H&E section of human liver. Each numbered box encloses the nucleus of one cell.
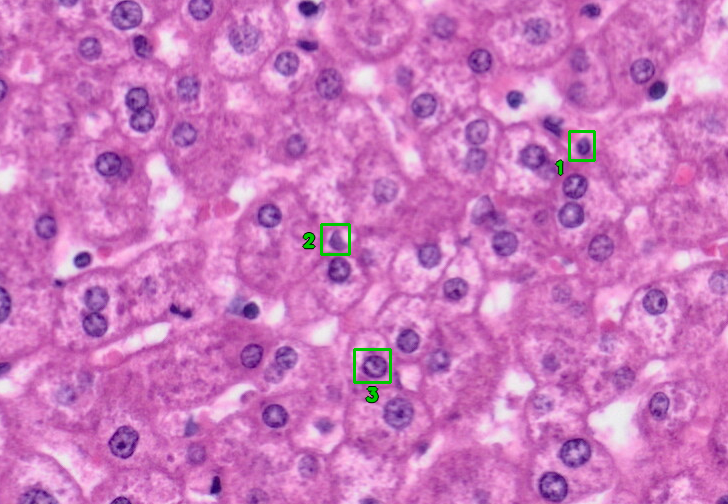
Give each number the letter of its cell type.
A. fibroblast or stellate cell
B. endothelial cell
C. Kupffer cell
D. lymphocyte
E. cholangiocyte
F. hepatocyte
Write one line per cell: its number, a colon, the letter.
1: D
2: B
3: F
